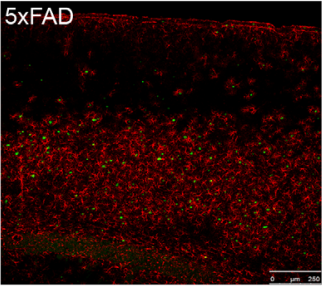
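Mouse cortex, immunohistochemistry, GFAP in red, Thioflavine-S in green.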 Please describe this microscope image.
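The red cells are most numerous in a broad middle band of the section and sparser near the surface. Many small bright green dots are scattered within the same middle band, each surrounded by red branching processes.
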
